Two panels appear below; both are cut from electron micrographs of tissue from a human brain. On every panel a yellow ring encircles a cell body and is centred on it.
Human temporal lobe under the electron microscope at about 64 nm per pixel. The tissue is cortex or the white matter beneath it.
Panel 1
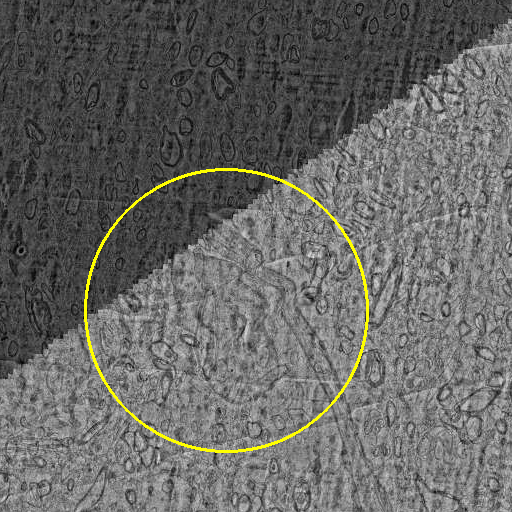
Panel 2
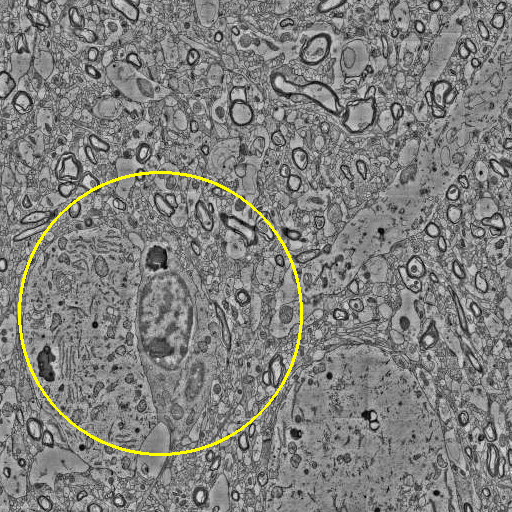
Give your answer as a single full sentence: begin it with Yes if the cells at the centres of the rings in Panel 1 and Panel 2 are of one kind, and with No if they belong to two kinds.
No, the cells in the middle of the rings in Panels 1 and 2 are of two kinds.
